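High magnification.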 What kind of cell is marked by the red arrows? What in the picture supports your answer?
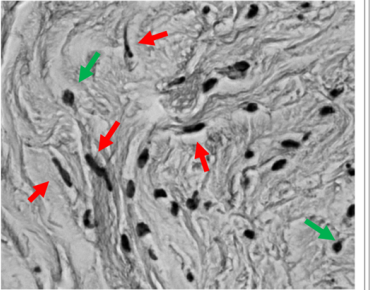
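Fibroblasts. They sit between wavy fibre bundles.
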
